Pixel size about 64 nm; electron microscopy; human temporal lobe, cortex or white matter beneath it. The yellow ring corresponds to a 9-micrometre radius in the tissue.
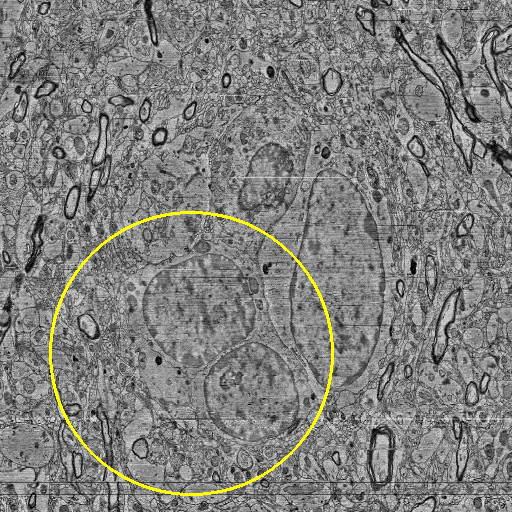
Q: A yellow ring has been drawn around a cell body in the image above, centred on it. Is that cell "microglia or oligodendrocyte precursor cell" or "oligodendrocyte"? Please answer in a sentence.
The ring surrounds the cell body of an oligodendrocyte.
